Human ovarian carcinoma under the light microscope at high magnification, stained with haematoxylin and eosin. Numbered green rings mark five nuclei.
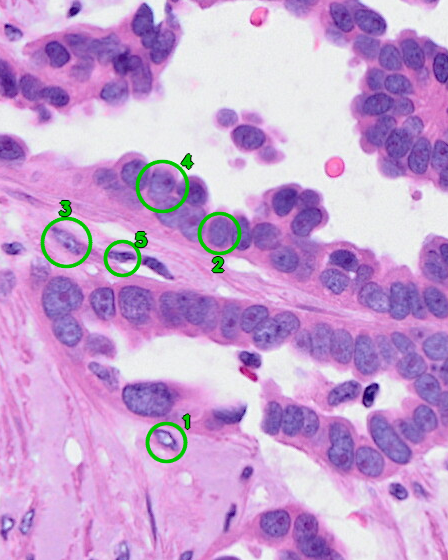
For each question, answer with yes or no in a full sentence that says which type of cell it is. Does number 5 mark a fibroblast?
Yes, the cell with number 5 is a fibroblast.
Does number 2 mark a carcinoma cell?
Yes, the cell whose number is 2 is a carcinoma cell.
